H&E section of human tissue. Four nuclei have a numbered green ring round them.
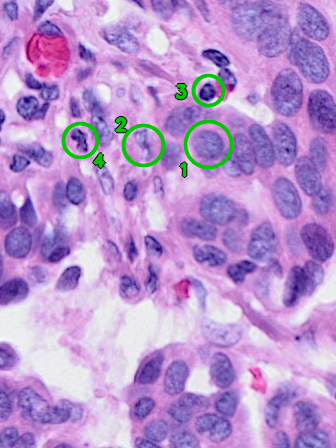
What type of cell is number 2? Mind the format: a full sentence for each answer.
Classified as a fibroblast is the cell with the number 2.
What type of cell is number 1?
The cell pointed out by number 1 is a carcinoma cell.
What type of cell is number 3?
At number 3, the marked cell is a lymphocyte.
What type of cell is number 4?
The correct answer for cell 4 is a lymphocyte.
